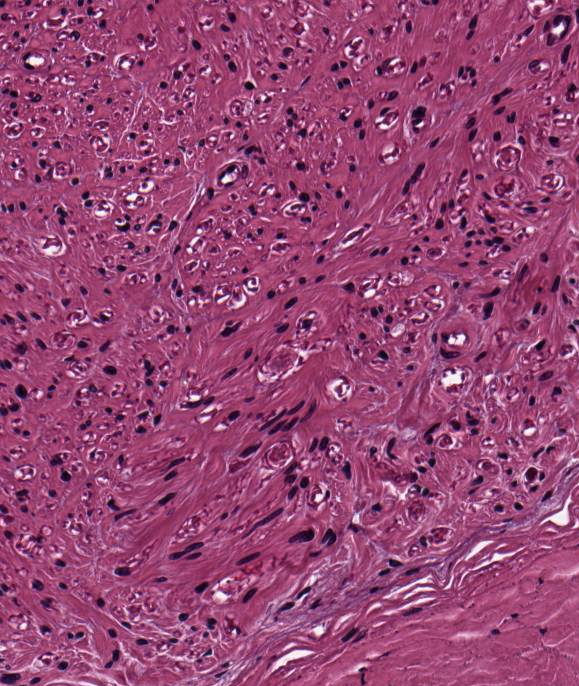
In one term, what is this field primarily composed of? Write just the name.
nerve fascicle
